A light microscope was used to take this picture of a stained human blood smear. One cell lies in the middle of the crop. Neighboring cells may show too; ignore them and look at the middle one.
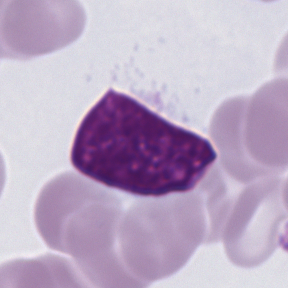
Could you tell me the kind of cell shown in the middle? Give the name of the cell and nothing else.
smudge cell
